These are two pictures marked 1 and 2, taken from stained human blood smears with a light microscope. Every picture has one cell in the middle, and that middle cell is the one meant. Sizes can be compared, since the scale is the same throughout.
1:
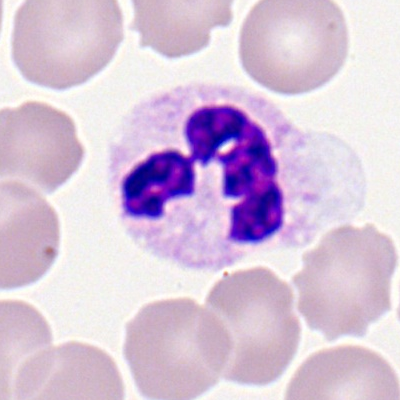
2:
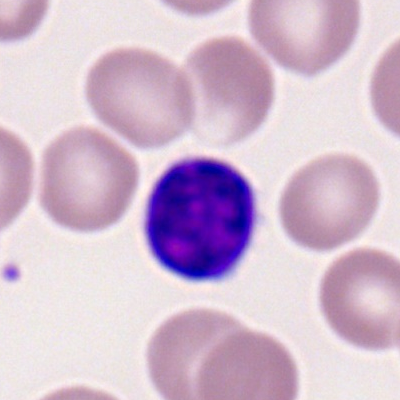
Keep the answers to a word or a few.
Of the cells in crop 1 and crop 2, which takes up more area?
1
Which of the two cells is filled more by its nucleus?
2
